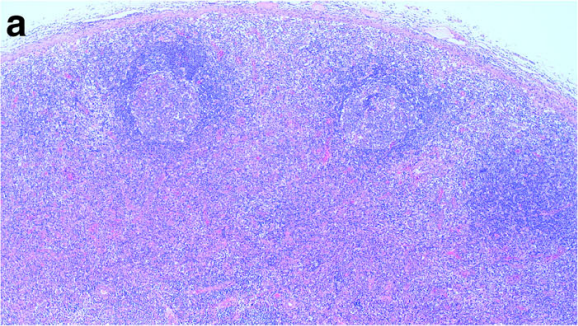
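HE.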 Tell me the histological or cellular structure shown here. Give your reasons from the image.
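Two rounded paler nodules ringed by a dark rim of small lymphocytes lie beneath the capsule. The rest of the node is a diffuse, paler cellular expanse. On this evidence: residual lymph follicles.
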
